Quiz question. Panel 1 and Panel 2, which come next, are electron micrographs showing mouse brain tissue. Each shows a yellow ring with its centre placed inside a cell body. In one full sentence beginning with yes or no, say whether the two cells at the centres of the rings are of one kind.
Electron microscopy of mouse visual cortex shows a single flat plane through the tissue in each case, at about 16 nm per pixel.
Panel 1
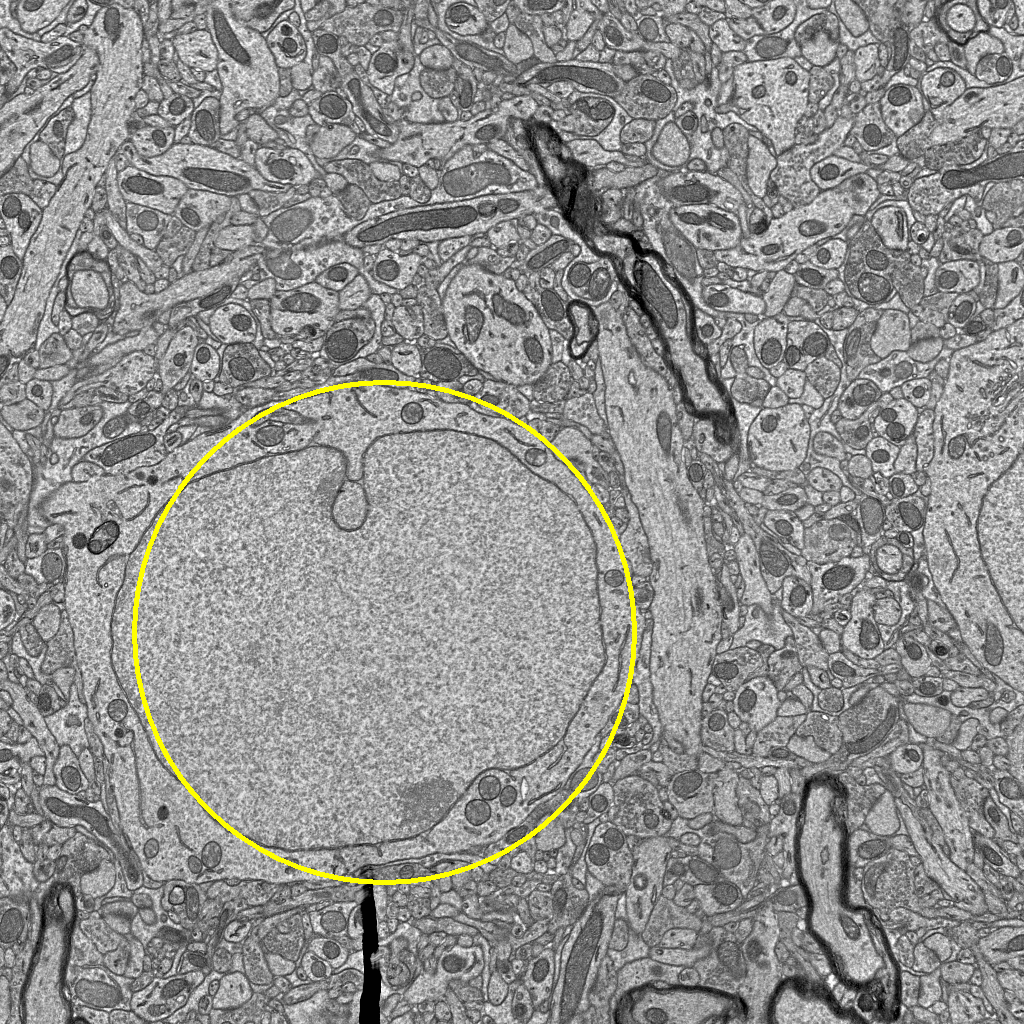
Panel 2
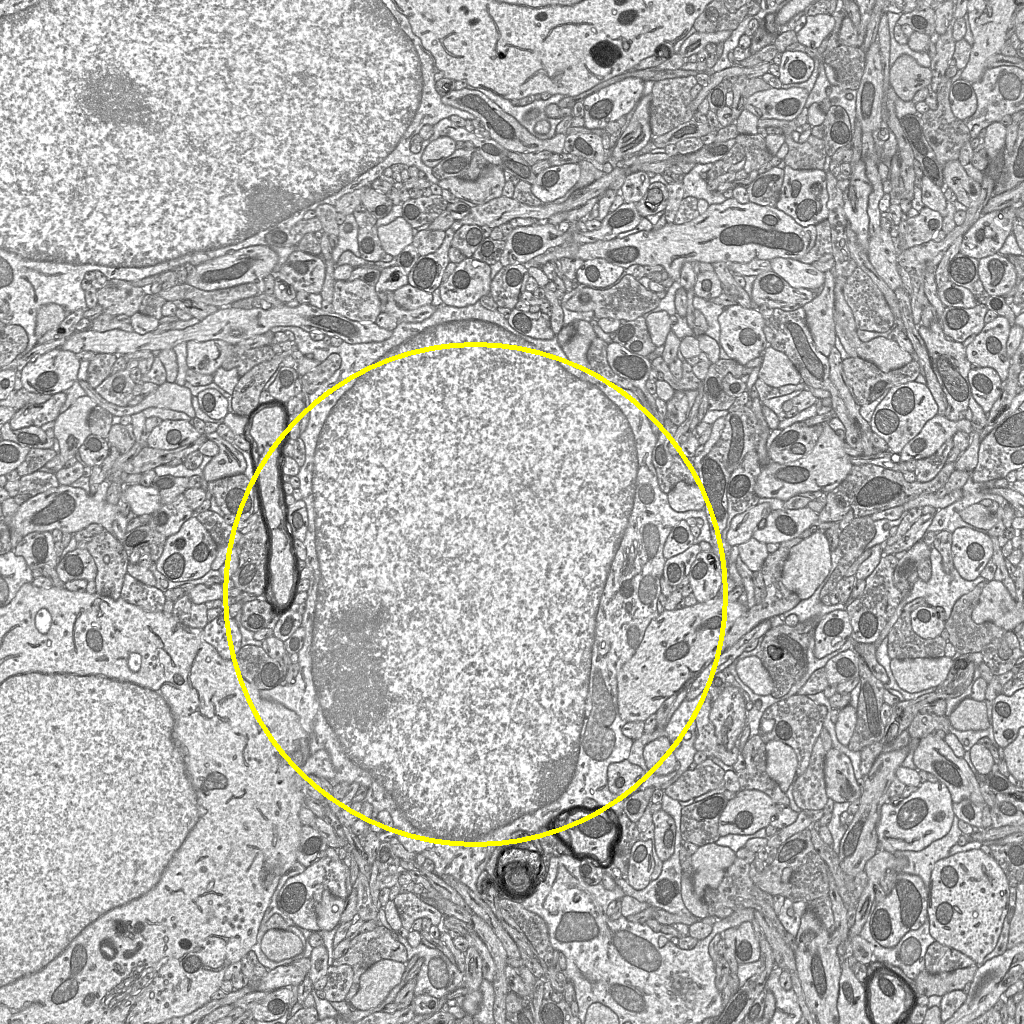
No, Panel 1 and Panel 2 show two kinds of cell at the centre of the ring.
